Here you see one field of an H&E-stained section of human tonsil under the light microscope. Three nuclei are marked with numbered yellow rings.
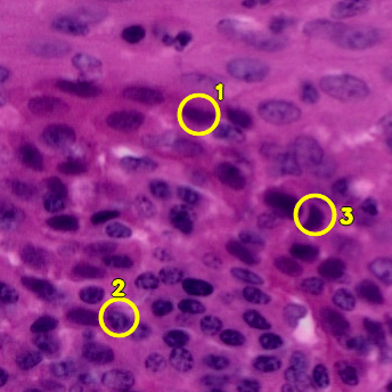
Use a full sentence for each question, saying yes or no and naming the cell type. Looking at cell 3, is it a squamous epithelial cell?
Yes, in the section, number 3 is a squamous epithelial cell.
